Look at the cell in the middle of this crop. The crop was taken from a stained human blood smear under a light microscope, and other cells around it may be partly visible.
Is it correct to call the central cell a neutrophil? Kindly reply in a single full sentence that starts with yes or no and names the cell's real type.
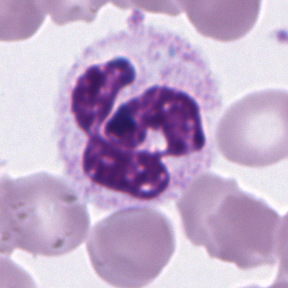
Yes, the cell shown in the middle is a neutrophil.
